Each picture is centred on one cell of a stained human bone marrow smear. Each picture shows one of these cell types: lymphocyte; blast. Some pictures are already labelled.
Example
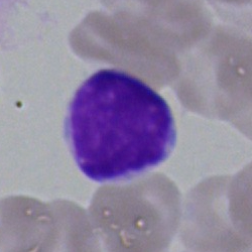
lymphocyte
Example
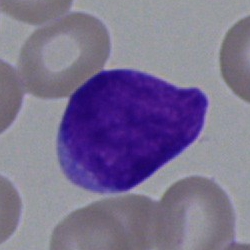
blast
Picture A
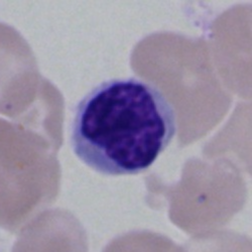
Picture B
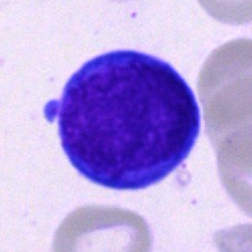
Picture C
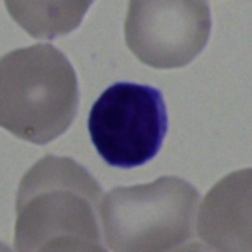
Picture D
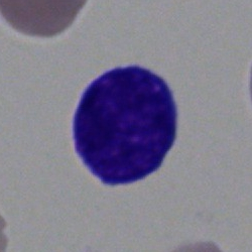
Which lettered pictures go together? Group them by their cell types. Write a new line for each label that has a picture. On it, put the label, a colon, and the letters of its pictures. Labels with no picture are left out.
lymphocyte: A, C
blast: B, D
